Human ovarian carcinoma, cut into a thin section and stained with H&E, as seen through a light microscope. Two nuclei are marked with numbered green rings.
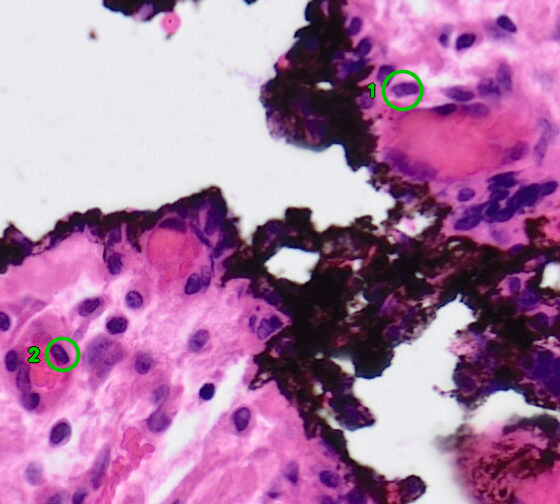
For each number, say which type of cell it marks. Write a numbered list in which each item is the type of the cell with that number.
1. macrophage or monocyte
2. endothelial cell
